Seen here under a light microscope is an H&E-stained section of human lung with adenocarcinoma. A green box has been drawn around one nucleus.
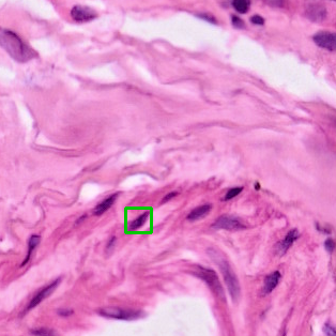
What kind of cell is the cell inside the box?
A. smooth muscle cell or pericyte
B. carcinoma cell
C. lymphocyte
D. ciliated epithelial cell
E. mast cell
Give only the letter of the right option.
A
